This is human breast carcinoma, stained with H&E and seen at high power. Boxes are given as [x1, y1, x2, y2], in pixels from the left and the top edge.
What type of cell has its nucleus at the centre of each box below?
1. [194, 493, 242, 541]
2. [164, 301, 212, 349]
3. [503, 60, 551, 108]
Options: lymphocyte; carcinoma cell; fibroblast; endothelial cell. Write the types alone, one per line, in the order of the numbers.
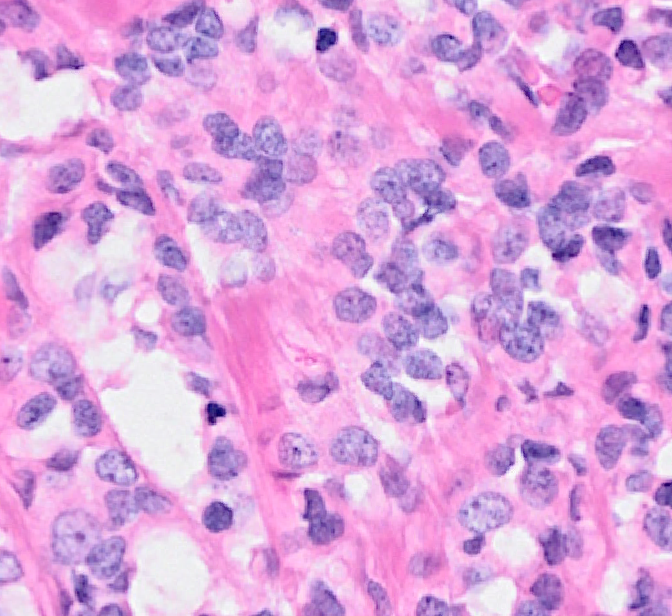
carcinoma cell
carcinoma cell
endothelial cell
